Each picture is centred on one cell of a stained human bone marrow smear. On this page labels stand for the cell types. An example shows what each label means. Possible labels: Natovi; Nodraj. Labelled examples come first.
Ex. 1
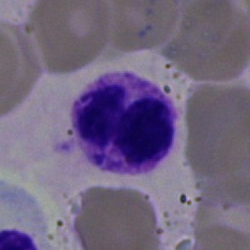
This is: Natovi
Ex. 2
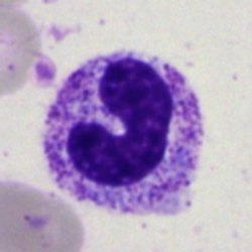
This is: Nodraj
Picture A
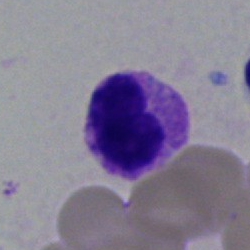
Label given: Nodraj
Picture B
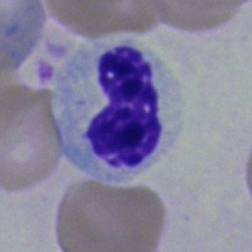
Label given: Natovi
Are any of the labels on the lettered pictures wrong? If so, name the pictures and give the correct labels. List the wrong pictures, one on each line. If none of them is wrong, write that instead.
A: not Nodraj but Natovi
B: not Natovi but Nodraj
